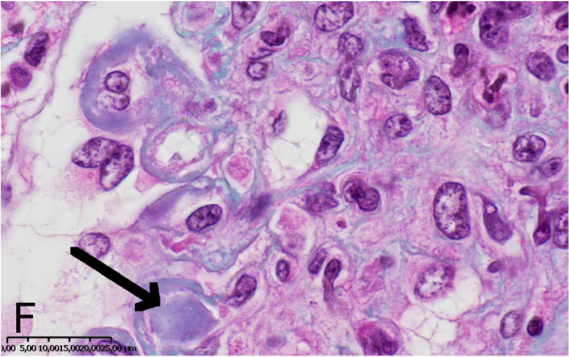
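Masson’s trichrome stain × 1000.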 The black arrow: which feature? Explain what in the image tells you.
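Hyaline thrombus. The arrow points to a rounded, homogeneous, glassy pale-purple mass. The mass lies within a capillary lumen-like space among glomerular cells. The mass contains no nucleus.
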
